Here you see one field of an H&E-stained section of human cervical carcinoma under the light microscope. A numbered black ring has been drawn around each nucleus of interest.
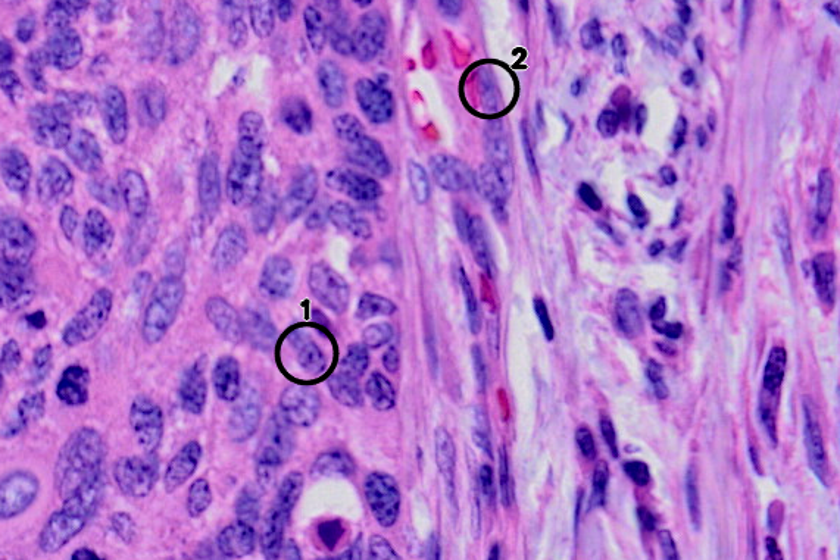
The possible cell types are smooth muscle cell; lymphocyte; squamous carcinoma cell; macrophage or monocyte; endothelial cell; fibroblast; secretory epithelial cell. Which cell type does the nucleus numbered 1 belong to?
squamous carcinoma cell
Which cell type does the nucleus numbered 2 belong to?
endothelial cell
